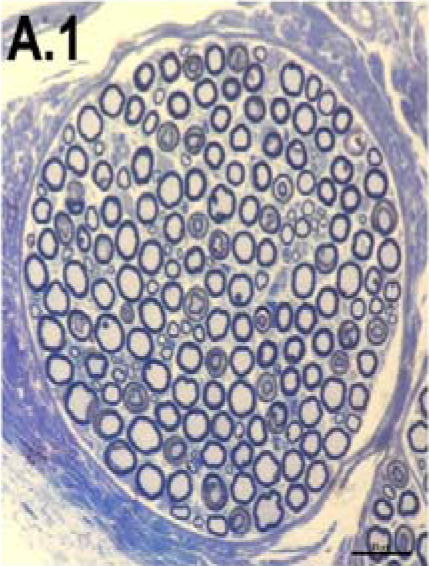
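This is a bundle of peripheral nerve fibres, each seen as a pale axon wrapped by a thick dark blue ring of myelin. The fibres vary in size, from large to small, and are packed closely within a rounded bundle bounded by a thin sheath, with looser connective tissue outside it.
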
